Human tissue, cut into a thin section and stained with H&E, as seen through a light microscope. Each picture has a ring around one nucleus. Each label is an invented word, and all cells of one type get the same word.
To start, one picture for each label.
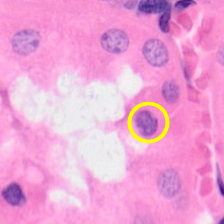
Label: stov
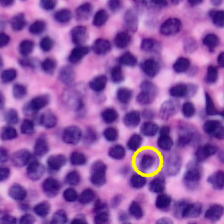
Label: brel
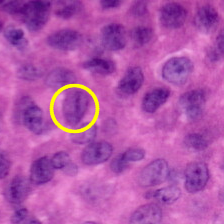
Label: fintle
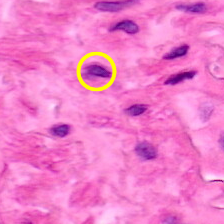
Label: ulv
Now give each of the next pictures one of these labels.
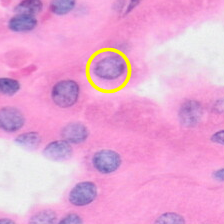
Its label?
stov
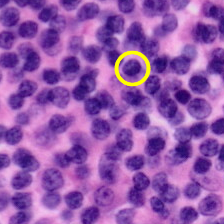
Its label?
brel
